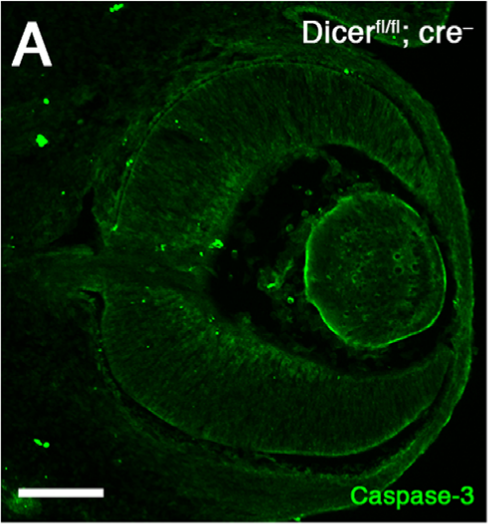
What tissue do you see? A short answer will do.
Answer: Eye.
